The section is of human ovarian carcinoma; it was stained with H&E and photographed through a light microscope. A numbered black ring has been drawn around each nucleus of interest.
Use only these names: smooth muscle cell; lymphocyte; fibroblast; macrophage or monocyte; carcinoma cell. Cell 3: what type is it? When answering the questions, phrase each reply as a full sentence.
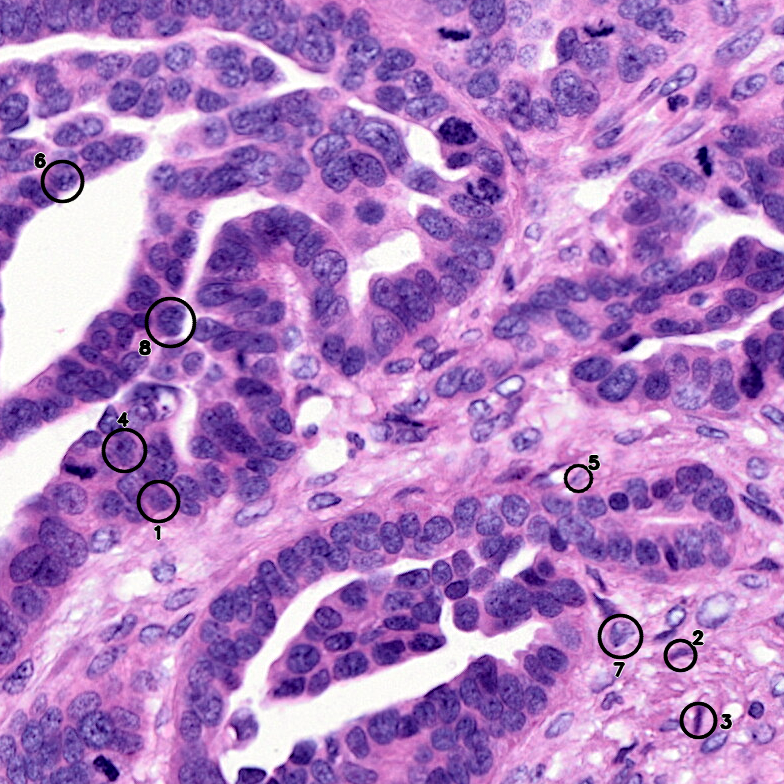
Numbered cell 3 is a fibroblast in this tissue section.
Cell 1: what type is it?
The cell tagged with 1 in this tissue section is a carcinoma cell.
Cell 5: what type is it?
The cell marked with the number 5 is a fibroblast.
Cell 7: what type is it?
The nucleus with number 7 is that of a fibroblast.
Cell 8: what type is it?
Heads up, the cell numbered 8 is a carcinoma cell.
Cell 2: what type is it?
The cell bearing label 2 corresponds to a fibroblast.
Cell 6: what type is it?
Cell number 6 in this section is a carcinoma cell.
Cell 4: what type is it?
Cell 4, among those numbered, is a carcinoma cell.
